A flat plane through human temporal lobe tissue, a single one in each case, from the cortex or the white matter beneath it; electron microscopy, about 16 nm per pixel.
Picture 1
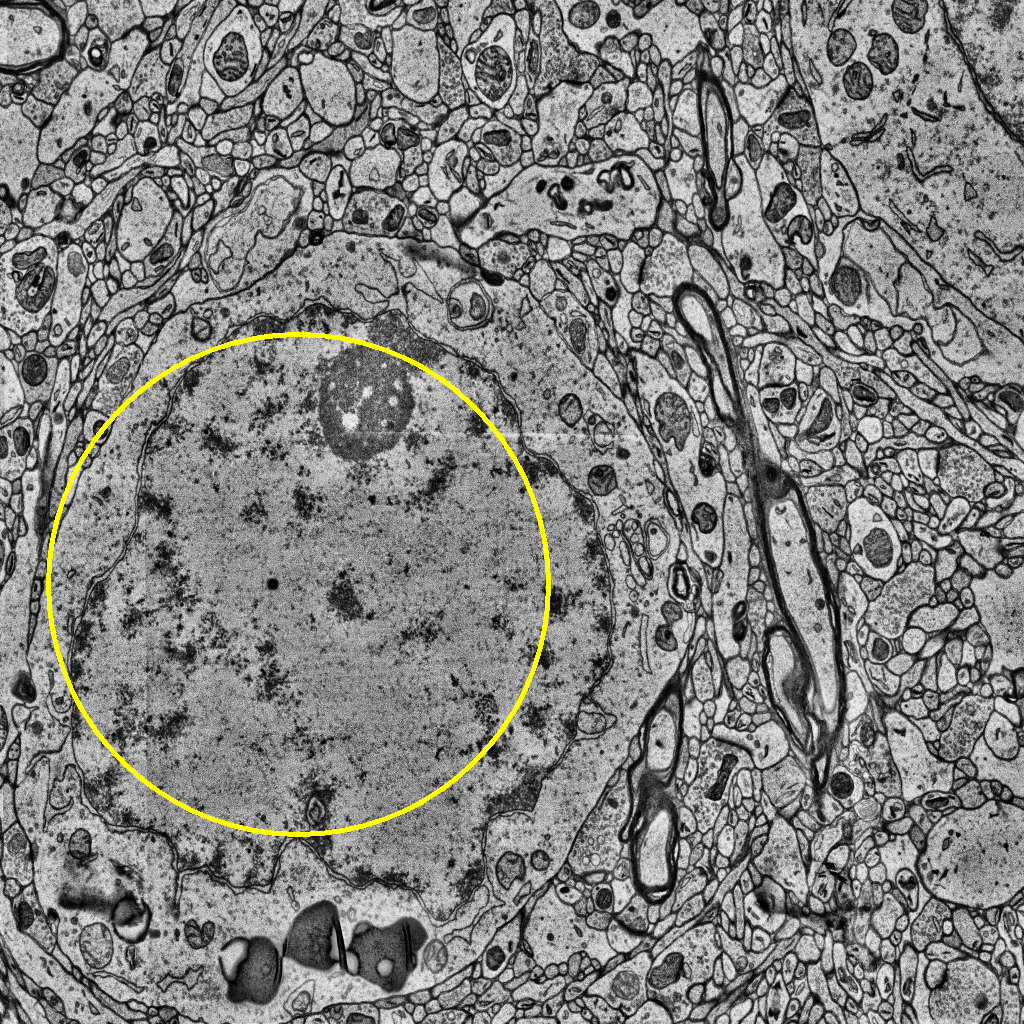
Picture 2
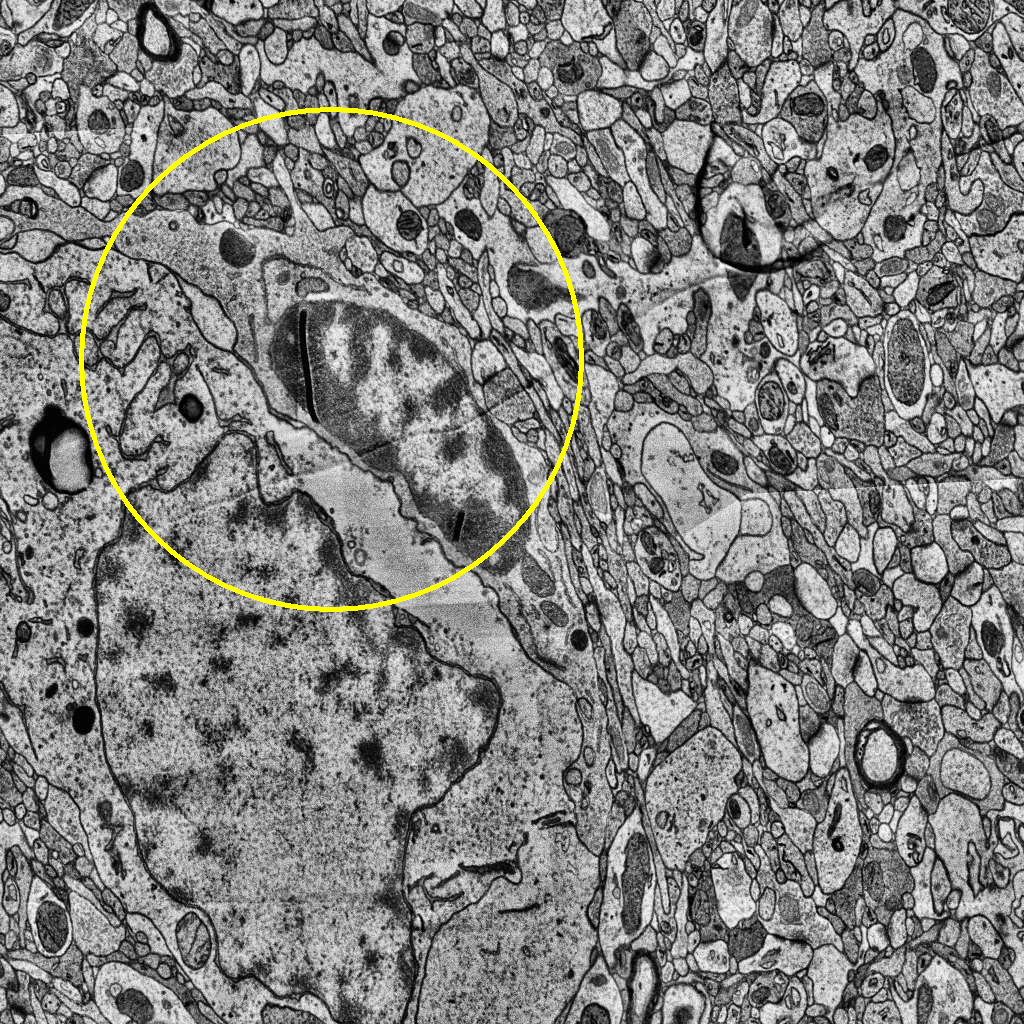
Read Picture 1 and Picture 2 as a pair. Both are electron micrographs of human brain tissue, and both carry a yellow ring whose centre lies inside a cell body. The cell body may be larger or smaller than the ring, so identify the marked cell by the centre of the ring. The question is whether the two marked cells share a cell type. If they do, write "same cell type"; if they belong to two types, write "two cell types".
two cell types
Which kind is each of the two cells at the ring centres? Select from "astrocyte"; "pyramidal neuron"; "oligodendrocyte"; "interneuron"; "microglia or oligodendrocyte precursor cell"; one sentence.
The cell in the first picture is an interneuron; the second picture's cell is a microglial cell or oligodendrocyte precursor cell.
